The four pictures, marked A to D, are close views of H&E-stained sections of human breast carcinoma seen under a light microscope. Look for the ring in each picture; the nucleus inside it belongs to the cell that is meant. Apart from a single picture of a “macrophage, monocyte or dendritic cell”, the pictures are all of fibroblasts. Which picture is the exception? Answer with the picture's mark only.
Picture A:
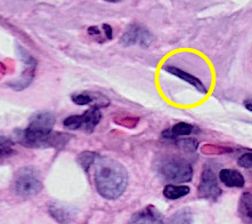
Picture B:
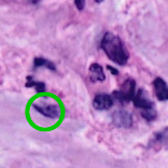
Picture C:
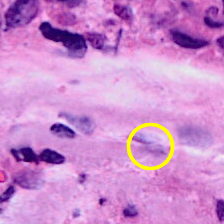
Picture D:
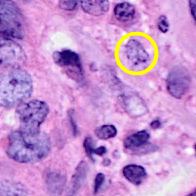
D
